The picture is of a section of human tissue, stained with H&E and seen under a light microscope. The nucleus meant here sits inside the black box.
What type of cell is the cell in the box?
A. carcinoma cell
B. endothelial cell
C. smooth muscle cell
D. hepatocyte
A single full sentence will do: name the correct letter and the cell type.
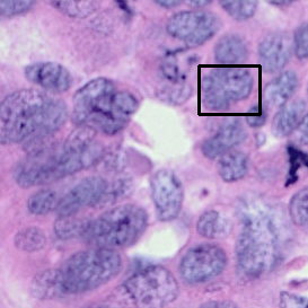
Option A correctly labels the cell in the box as a carcinoma cell.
